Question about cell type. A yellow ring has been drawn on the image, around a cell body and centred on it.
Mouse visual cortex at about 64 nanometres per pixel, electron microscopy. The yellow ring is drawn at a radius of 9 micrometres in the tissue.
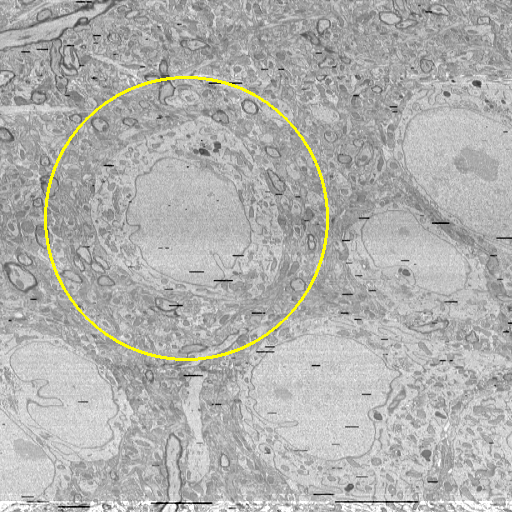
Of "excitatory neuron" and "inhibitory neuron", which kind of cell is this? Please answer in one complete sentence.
At the centre of the ring lies an inhibitory neuron.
